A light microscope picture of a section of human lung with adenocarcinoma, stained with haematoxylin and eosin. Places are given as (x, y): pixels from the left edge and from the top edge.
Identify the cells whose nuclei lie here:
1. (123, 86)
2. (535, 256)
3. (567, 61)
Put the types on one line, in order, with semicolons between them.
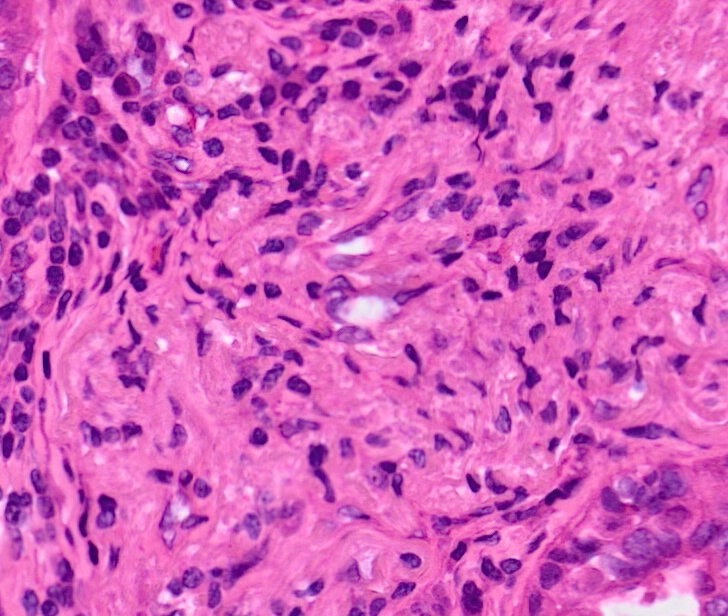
plasma cell; plasma cell; lymphocyte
